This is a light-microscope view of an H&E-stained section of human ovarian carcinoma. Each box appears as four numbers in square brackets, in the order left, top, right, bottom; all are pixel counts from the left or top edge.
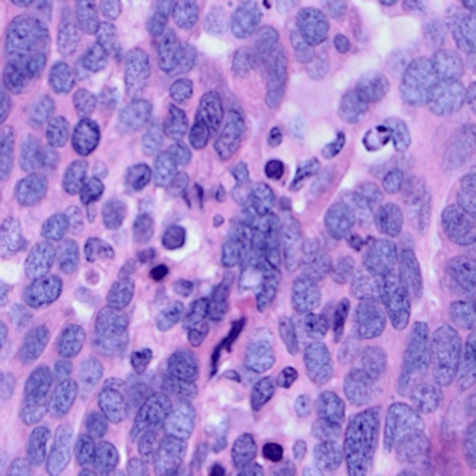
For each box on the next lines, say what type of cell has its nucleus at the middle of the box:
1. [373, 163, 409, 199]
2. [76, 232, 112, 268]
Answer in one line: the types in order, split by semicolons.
carcinoma cell; macrophage or monocyte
